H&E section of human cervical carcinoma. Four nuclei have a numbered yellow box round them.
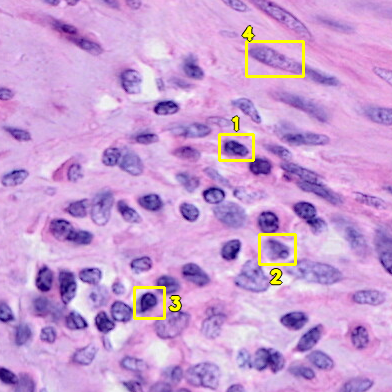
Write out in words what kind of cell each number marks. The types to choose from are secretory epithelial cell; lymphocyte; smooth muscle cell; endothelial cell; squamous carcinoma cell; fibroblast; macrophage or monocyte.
Cells 1, 2 and 3 are lymphocytes. Cell 4 is a smooth muscle cell.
